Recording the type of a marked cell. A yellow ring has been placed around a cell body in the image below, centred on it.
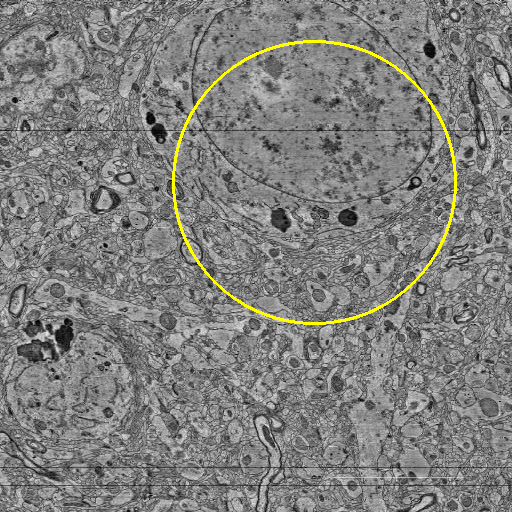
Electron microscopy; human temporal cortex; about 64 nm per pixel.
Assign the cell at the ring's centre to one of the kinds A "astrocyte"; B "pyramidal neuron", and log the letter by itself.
B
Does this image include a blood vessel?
No, no vessel appears in the picture.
